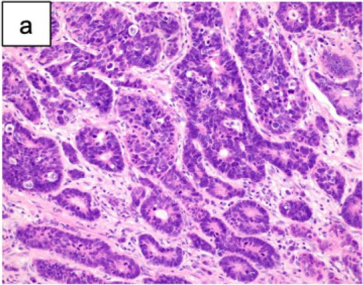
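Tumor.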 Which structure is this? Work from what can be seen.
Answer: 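Tumor cell nests contain small round lumens. Columnar cells line up around the lumens. Nests are separated by pink fibrous stroma.
Conclusion: glandular duct structures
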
